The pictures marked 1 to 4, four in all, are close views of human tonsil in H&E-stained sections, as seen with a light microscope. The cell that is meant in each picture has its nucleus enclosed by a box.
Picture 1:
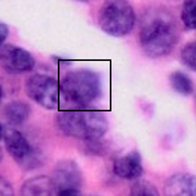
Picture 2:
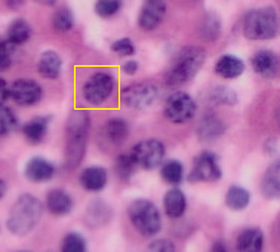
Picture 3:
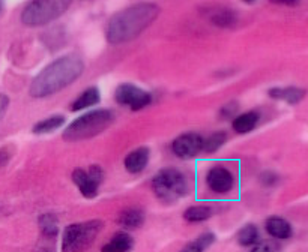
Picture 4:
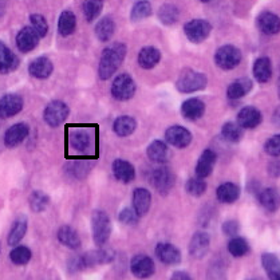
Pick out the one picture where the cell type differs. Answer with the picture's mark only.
1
